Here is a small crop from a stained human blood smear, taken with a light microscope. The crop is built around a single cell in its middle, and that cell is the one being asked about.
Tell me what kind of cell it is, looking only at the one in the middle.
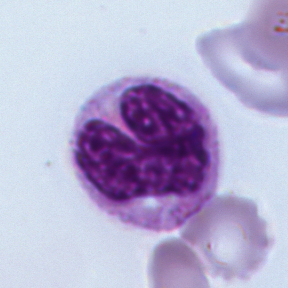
band neutrophil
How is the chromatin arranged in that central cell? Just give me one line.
The chromatin here is fine and lacks any coarse clumps.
